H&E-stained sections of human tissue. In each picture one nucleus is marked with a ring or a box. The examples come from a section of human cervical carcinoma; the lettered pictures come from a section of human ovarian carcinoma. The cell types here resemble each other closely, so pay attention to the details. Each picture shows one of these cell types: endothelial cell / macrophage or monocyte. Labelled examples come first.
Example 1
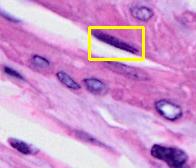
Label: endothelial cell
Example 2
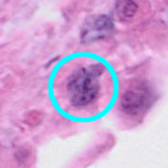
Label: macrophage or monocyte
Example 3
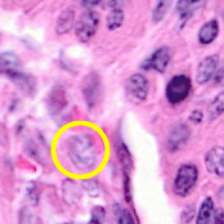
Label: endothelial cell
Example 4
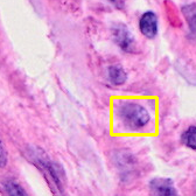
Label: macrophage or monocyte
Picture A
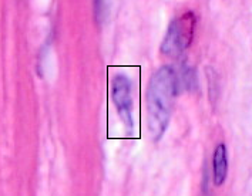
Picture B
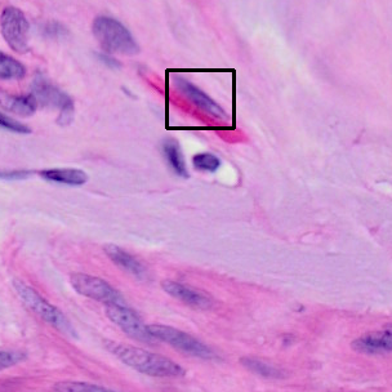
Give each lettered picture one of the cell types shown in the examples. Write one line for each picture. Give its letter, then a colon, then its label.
A: macrophage or monocyte
B: endothelial cell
